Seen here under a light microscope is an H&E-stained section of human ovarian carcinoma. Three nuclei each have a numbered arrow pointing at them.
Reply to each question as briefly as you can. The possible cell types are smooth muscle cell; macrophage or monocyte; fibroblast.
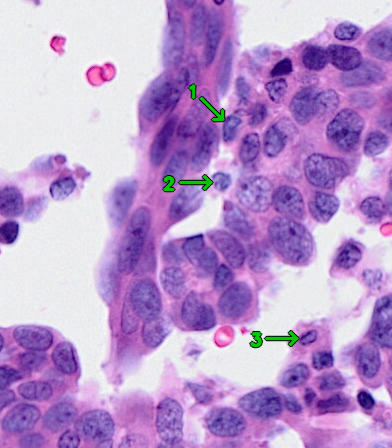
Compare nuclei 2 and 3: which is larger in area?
2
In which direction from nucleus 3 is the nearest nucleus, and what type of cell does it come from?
a macrophage or monocyte below and to the right of nucleus 3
